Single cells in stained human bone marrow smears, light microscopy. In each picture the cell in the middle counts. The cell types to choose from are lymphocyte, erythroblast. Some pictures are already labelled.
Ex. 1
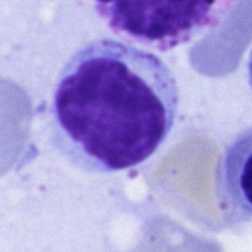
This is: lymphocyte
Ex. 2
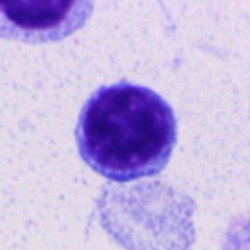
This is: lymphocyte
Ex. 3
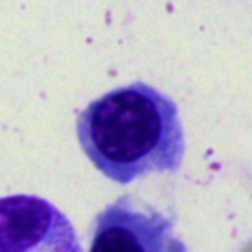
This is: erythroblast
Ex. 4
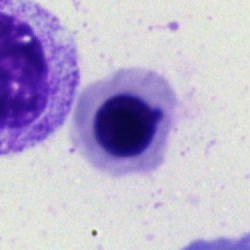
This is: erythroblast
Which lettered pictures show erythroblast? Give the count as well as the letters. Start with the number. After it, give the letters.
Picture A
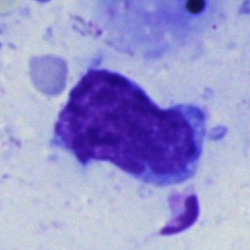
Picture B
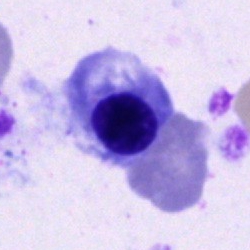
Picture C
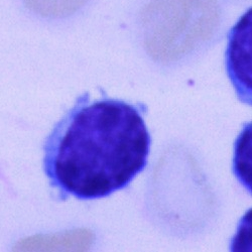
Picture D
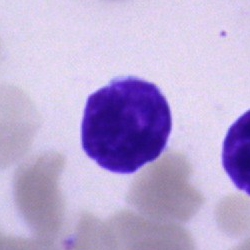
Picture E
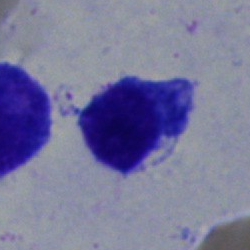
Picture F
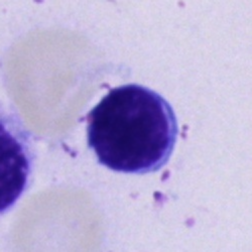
1, namely B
